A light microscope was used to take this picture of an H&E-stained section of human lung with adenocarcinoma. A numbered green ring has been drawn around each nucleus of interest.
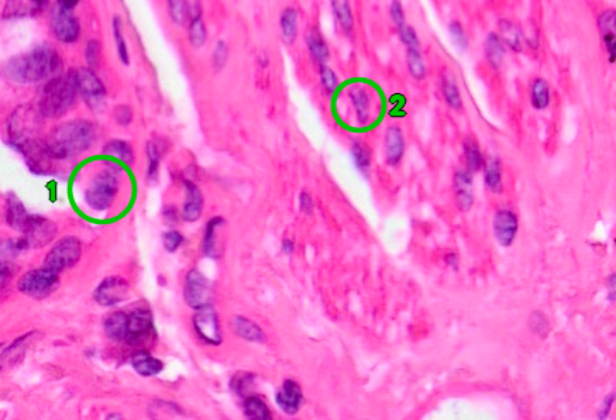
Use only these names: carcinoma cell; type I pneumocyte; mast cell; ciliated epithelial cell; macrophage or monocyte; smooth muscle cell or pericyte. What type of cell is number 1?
ciliated epithelial cell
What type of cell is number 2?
smooth muscle cell or pericyte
